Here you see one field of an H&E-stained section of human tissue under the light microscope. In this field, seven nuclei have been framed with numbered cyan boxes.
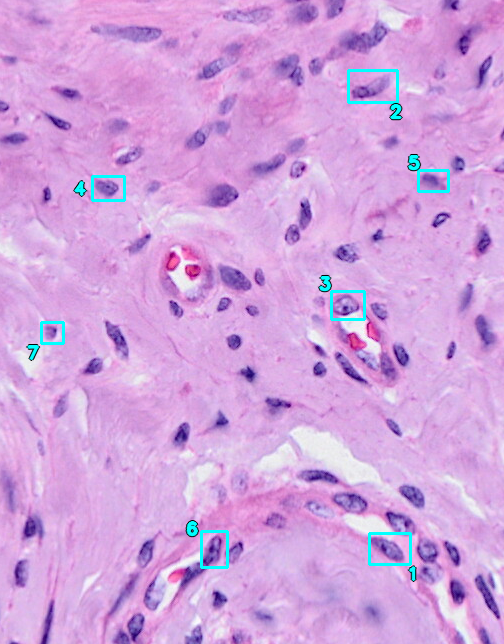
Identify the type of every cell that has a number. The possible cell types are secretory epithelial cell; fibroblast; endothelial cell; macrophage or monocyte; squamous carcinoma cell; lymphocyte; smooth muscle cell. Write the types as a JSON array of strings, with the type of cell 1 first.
["endothelial cell", "fibroblast", "endothelial cell", "fibroblast", "fibroblast", "endothelial cell", "fibroblast"]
